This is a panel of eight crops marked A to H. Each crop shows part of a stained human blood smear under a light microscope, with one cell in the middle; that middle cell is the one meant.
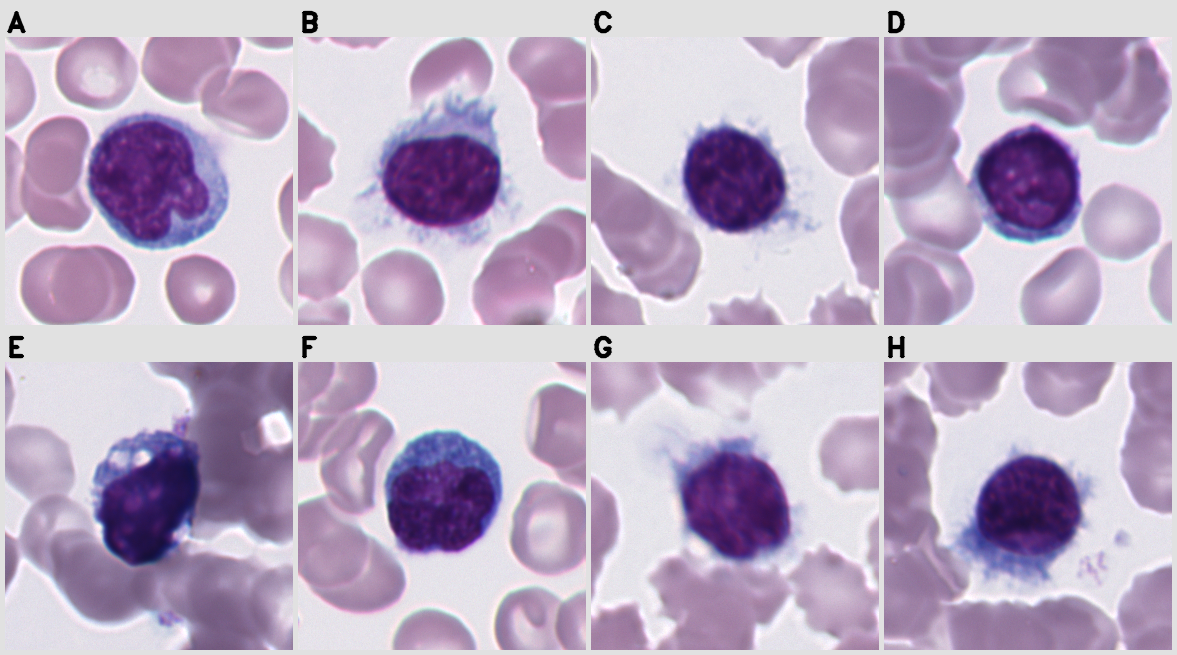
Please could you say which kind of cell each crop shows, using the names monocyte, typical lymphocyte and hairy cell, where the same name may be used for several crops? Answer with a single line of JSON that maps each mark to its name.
{"A": "typical lymphocyte", "B": "hairy cell", "C": "hairy cell", "D": "typical lymphocyte", "E": "typical lymphocyte", "F": "monocyte", "G": "hairy cell", "H": "hairy cell"}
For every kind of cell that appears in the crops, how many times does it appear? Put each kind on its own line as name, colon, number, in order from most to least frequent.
hairy cell: 4
typical lymphocyte: 3
monocyte: 1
